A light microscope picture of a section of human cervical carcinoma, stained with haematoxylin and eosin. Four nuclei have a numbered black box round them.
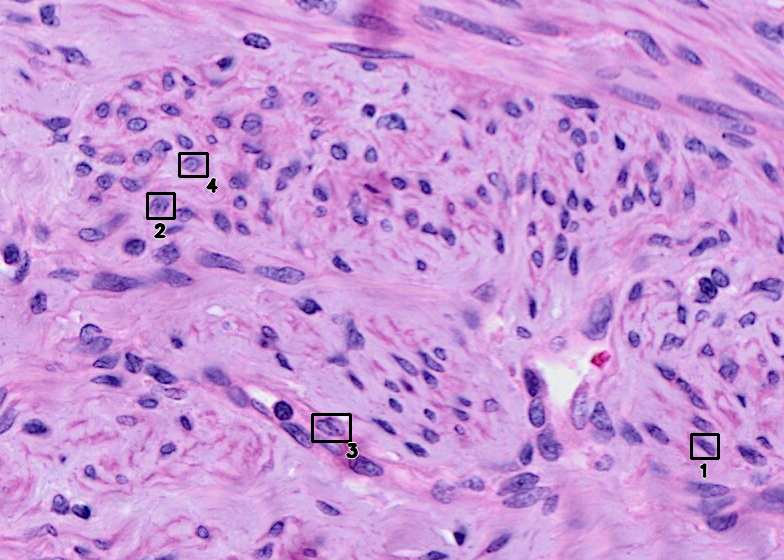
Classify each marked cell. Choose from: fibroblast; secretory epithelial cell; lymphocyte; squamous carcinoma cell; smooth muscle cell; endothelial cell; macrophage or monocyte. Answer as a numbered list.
1. smooth muscle cell
2. smooth muscle cell
3. endothelial cell
4. smooth muscle cell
